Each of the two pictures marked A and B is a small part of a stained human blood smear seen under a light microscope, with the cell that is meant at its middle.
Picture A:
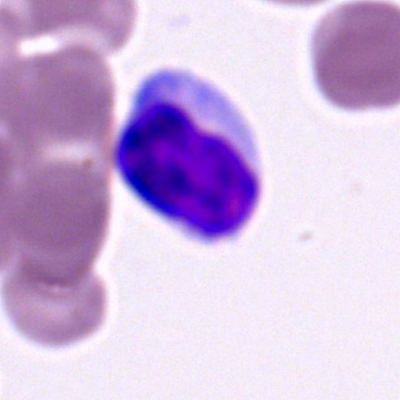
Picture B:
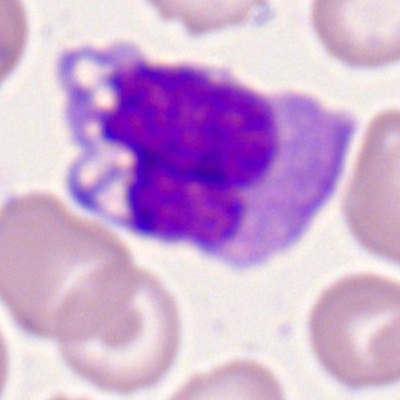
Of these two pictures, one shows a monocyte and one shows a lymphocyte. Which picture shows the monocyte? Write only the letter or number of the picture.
B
